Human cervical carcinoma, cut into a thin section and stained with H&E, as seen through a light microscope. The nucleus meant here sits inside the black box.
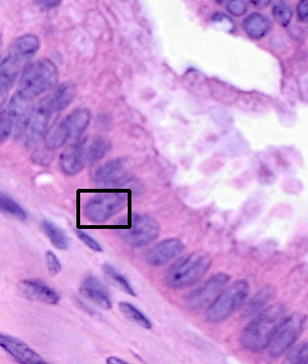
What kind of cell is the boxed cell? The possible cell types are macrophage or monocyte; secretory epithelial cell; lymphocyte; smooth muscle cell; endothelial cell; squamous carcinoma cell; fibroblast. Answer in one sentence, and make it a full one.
Considered by cell type, the boxed cell is a secretory epithelial cell.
